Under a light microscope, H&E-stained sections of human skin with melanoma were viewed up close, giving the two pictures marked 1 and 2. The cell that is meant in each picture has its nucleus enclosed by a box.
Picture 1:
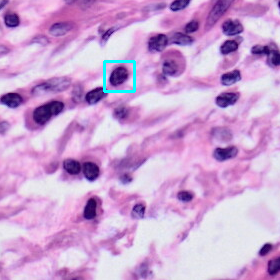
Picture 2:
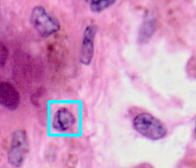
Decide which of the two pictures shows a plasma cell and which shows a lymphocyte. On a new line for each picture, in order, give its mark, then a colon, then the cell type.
1: plasma cell
2: lymphocyte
